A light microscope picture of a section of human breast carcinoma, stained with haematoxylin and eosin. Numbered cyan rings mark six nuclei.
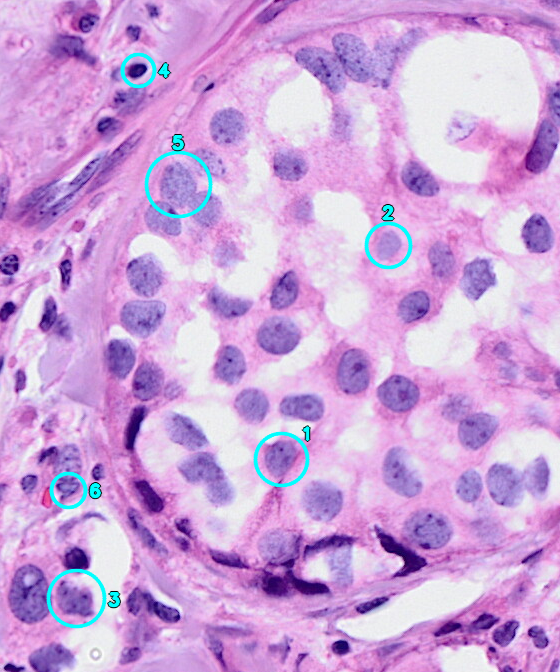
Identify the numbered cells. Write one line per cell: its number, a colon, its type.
1: carcinoma cell
2: carcinoma cell
3: carcinoma cell
4: lymphocyte
5: carcinoma cell
6: endothelial cell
